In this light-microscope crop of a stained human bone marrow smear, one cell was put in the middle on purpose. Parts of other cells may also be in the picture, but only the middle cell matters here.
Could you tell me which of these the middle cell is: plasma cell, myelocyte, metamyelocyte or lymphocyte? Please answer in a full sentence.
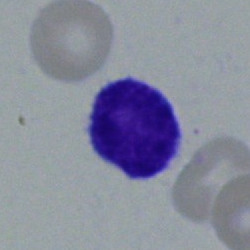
The crop centres on a single cell, and that cell is a lymphocyte.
